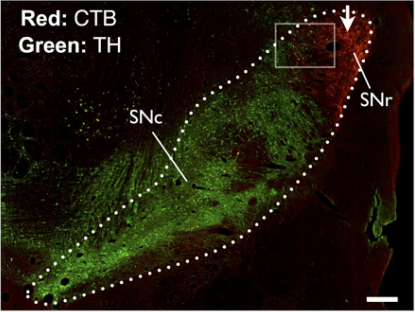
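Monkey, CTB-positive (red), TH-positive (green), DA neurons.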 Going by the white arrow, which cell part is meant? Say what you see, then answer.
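The red signal there is diffuse and fibrous, without distinct cell bodies. The answer: axon terminals.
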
